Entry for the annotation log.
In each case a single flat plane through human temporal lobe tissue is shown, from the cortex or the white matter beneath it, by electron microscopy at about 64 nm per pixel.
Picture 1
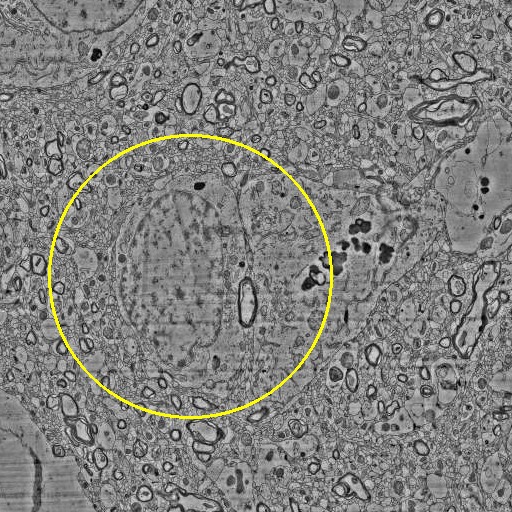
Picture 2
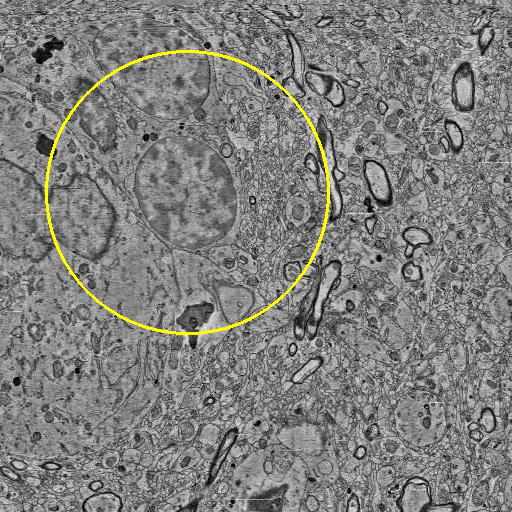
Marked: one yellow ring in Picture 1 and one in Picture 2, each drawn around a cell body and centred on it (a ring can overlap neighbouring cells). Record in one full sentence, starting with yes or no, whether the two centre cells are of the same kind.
No, the two cells are of two kinds.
